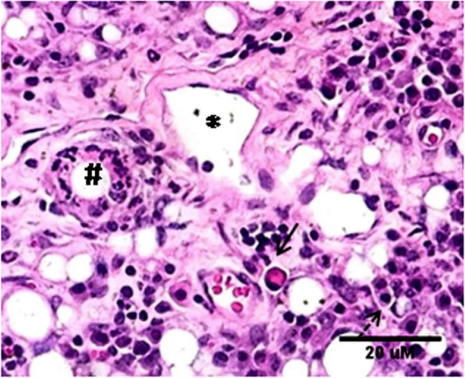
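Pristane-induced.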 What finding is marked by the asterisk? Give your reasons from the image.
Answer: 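Lymphatic dilation. The asterisk lies in a wide empty lumen lined by a thin wall. The lumen contains no red blood cells.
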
